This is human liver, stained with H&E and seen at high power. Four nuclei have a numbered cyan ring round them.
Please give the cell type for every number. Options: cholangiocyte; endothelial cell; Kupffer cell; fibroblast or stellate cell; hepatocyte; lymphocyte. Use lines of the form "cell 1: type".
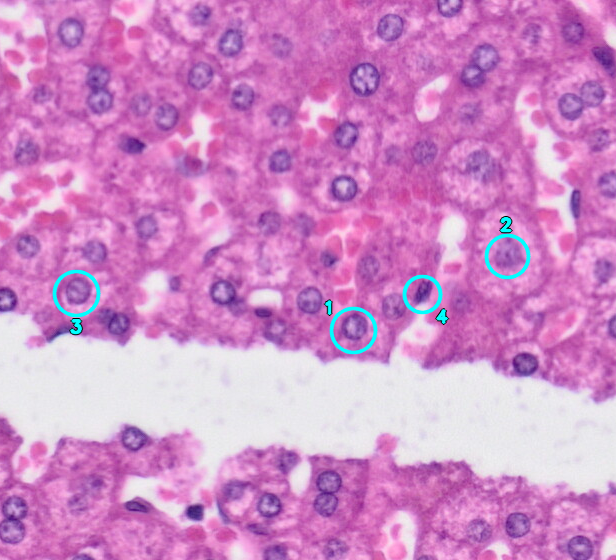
cell 1: hepatocyte
cell 2: hepatocyte
cell 3: hepatocyte
cell 4: fibroblast or stellate cell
